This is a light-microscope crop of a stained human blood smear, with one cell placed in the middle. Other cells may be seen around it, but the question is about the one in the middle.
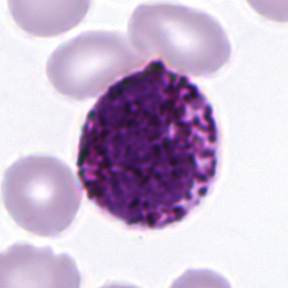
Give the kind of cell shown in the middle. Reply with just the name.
basophil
